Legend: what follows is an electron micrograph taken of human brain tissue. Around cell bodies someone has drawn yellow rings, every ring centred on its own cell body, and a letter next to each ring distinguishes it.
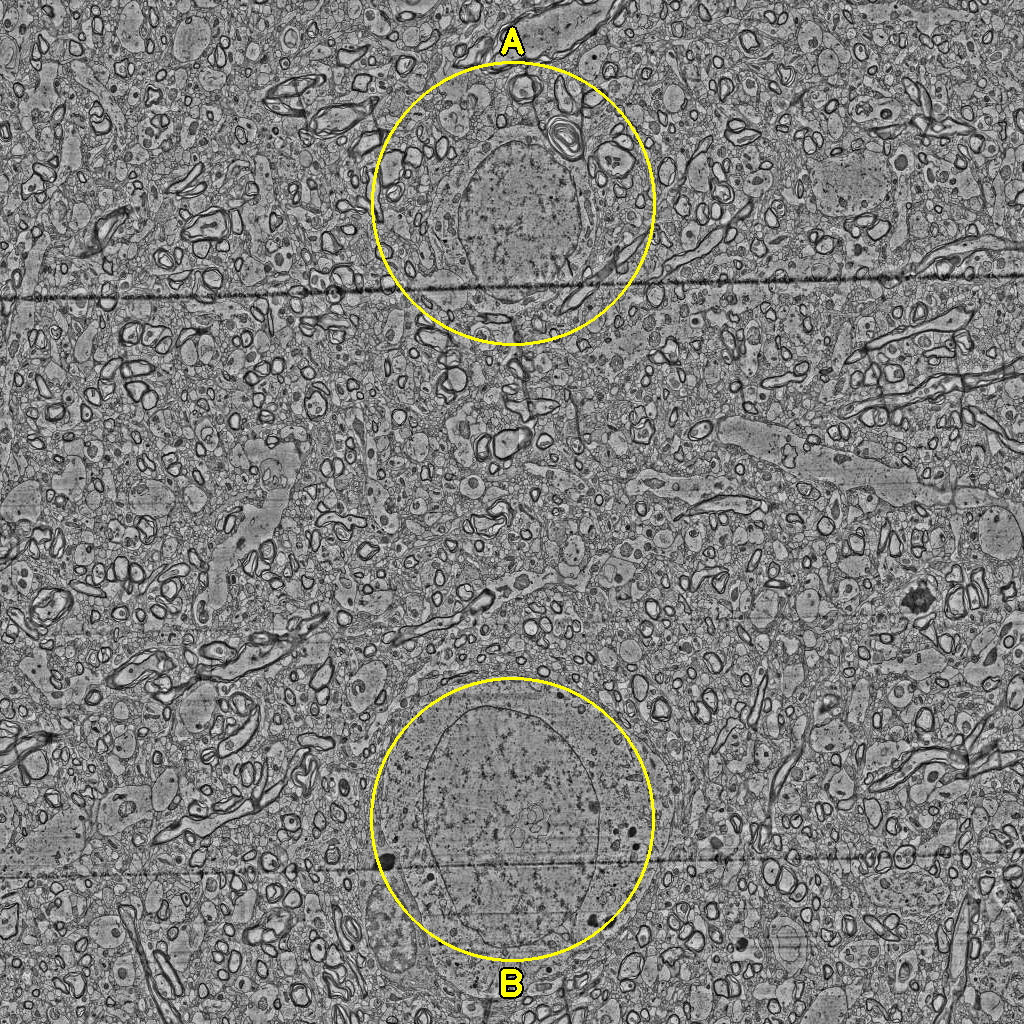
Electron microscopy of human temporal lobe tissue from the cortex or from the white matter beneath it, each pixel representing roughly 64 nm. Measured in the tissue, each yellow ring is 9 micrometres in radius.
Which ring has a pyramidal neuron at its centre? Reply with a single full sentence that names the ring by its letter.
Ring B is the one centred on the cell asked for in the picture.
